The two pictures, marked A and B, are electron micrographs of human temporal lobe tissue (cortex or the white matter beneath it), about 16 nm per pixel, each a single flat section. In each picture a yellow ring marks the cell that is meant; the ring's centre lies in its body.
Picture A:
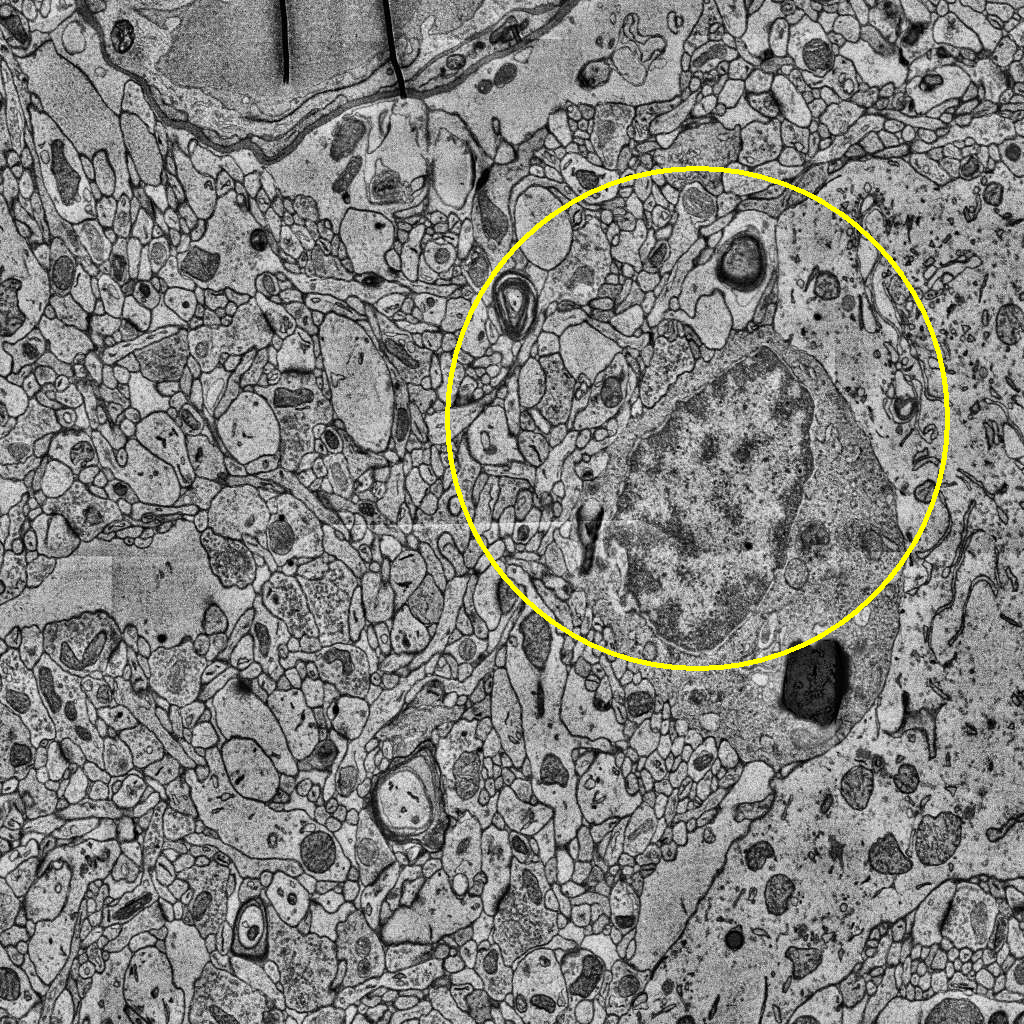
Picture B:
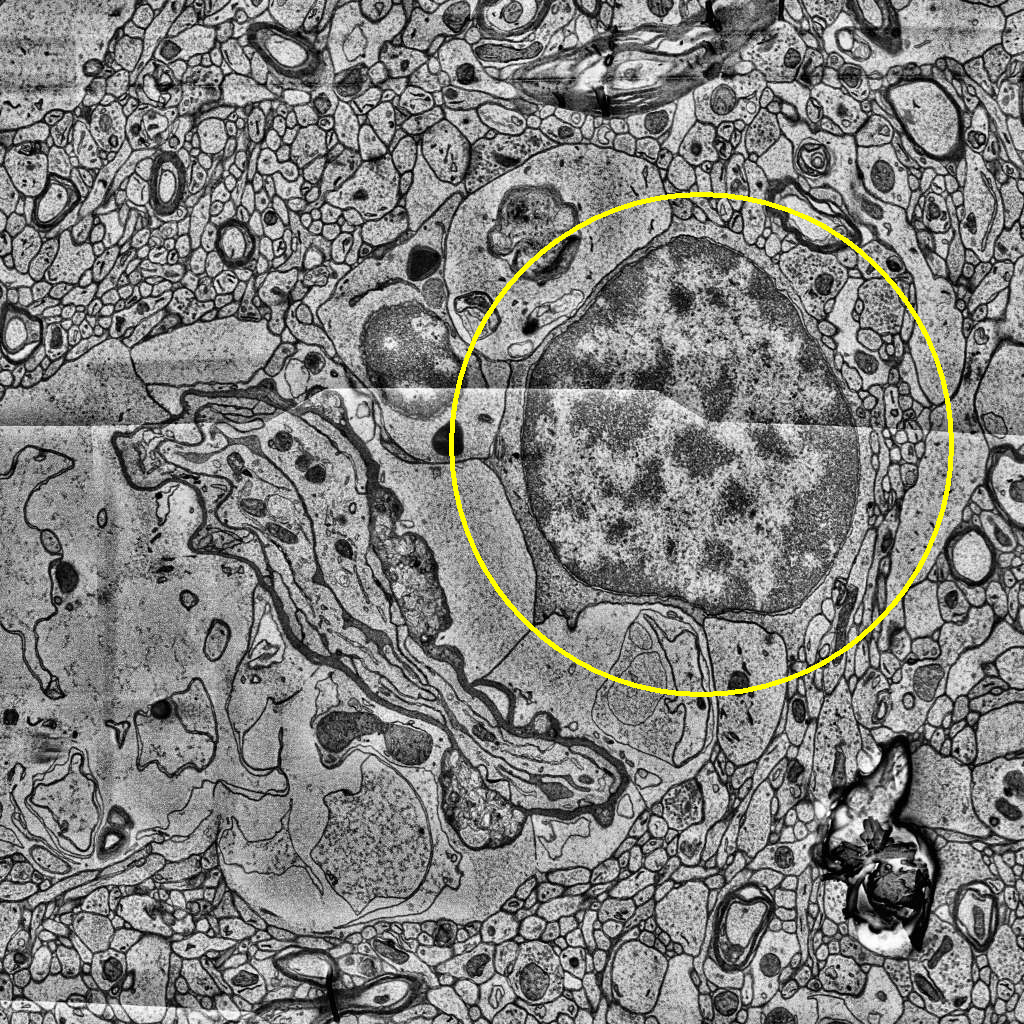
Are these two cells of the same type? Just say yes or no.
yes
